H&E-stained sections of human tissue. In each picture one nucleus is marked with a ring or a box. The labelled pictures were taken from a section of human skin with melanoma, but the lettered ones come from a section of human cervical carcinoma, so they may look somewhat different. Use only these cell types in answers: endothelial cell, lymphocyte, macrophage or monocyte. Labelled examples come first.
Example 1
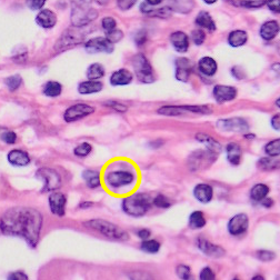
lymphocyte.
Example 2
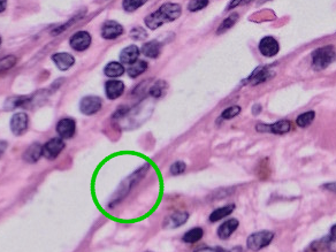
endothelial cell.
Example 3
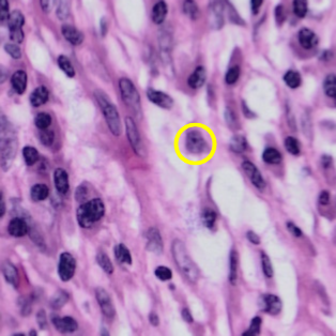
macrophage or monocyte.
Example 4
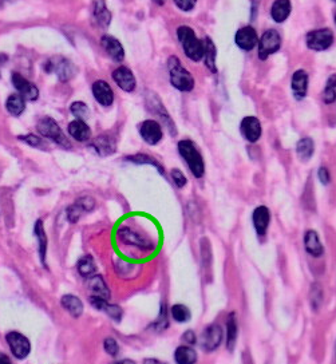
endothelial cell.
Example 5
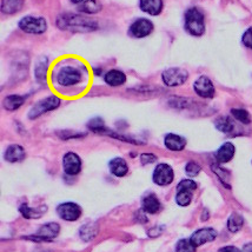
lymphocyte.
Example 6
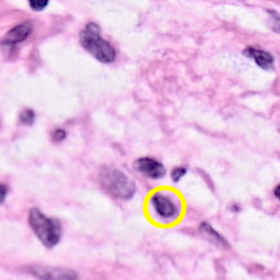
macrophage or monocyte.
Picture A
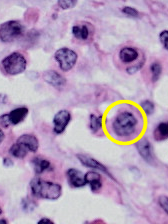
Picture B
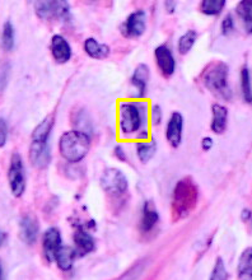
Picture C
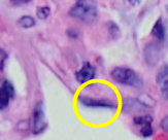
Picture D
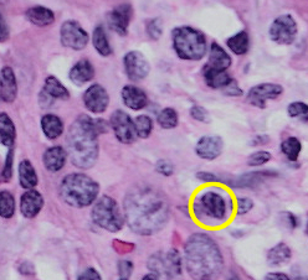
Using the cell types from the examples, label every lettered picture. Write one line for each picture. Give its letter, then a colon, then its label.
A: macrophage or monocyte.
B: lymphocyte.
C: endothelial cell.
D: lymphocyte.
